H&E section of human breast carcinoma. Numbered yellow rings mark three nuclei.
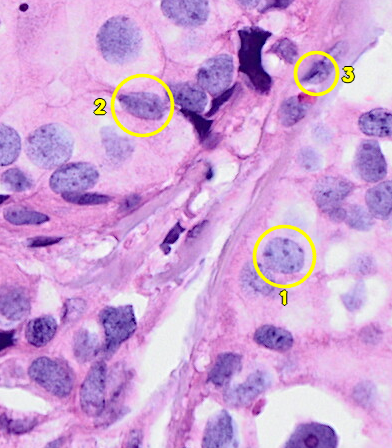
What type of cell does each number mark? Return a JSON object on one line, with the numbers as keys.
{"1": "carcinoma cell", "2": "carcinoma cell", "3": "endothelial cell"}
